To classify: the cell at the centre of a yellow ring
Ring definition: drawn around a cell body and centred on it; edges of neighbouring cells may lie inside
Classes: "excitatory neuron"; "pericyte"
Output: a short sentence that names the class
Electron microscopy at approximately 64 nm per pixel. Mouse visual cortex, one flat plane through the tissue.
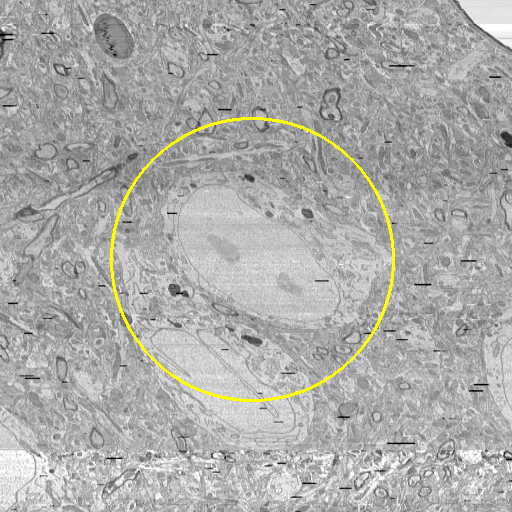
The ringed cell is an excitatory neuron.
